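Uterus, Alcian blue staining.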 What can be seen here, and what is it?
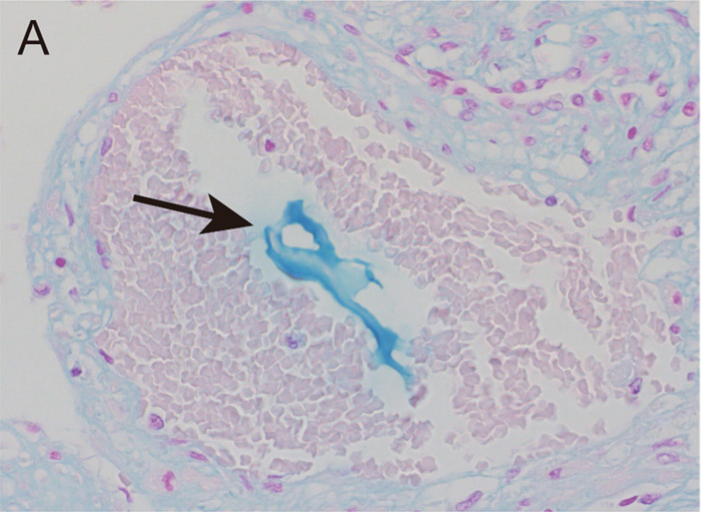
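The lumen is crowded with red blood cells, seen as small pale pink discs packed tightly together. Around the vessel lies a thin wall with flattened nuclei, and beyond it loose connective tissue tinted blue-green, with scattered pink-red oval nuclei. In the middle of the red cells sits something foreign: a bright blue, branching streak of amorphous material with no nuclei in it, curling around a small clear space. Its strong blue colour sets it sharply apart from the blood around it.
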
